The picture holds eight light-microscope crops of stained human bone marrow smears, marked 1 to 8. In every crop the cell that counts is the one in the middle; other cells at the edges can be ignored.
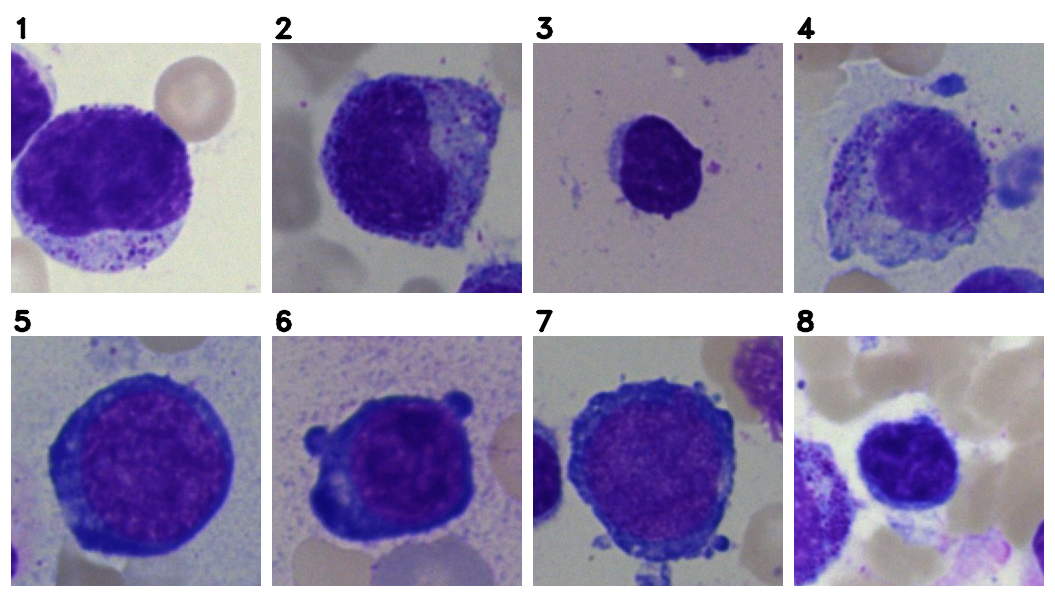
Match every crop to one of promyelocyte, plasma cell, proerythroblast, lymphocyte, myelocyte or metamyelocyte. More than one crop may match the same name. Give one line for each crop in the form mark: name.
1: myelocyte
2: promyelocyte
3: lymphocyte
4: myelocyte
5: proerythroblast
6: proerythroblast
7: proerythroblast
8: lymphocyte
